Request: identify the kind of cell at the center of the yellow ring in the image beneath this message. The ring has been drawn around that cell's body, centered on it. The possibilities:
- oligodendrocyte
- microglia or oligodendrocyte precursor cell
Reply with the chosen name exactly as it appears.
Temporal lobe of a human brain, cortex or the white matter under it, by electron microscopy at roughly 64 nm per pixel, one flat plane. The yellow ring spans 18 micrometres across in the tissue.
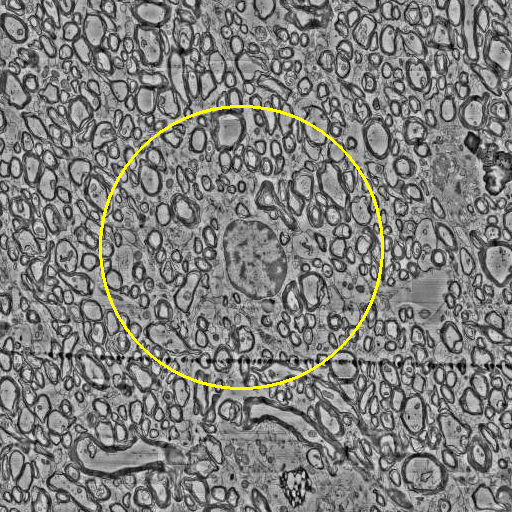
microglia or oligodendrocyte precursor cell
